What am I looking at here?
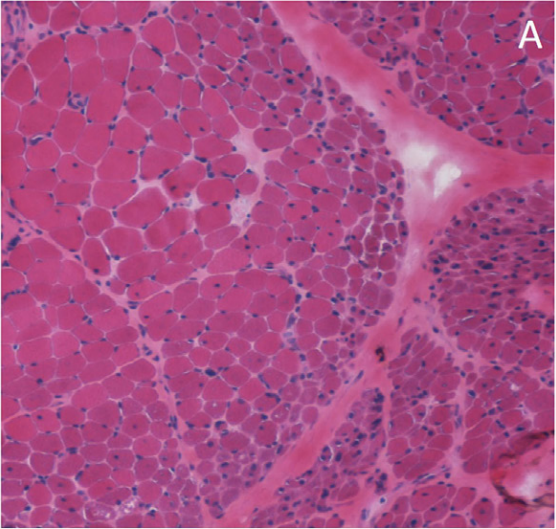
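This is skeletal muscle cut in cross-section, showing several fascicles of myofibers separated by broad pink bands of perimysial connective tissue. The fibers are polygonal profiles with pink cytoplasm and peripheral dark blue nuclei. The striking feature is the distribution of fiber size: fibers along the edges of each fascicle, next to the connective tissue septa, are small and crowded, so their nuclei appear more numerous, whereas fibers in the fascicle centres are larger and more regular. This rim of small fibers at the fascicle periphery is the classic pattern of perifascicular atrophy.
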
